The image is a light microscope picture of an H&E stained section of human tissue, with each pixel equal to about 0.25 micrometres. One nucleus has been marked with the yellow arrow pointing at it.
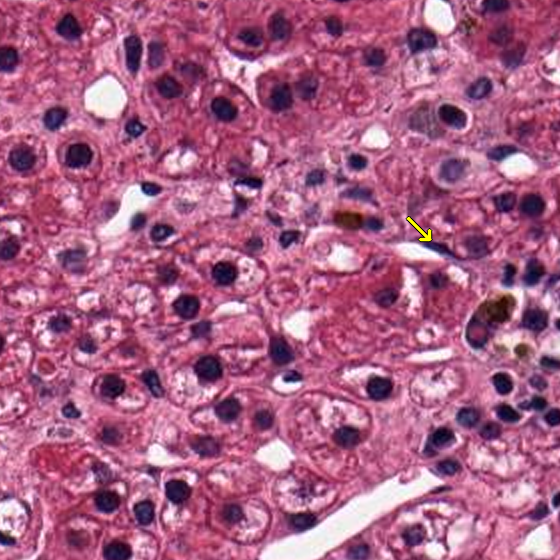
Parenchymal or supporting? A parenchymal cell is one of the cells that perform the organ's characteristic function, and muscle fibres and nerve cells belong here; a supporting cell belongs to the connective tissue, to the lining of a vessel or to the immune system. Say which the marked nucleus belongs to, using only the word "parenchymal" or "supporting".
supporting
